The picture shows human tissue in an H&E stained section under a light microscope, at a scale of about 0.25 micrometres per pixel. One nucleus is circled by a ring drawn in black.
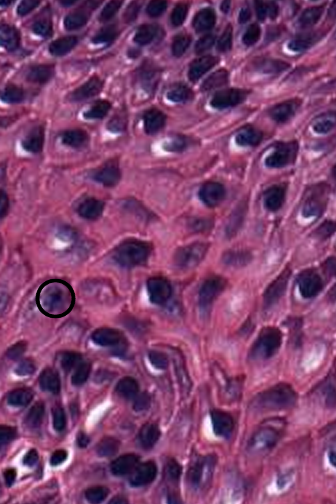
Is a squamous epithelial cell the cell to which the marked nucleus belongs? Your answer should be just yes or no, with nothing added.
yes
